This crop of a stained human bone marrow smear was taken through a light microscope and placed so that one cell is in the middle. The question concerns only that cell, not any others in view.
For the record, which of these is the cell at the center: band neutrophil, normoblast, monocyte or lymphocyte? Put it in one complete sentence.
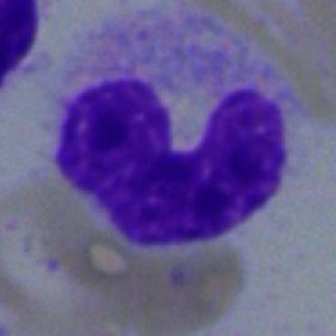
Positioned in the middle of the crop is a band neutrophil.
